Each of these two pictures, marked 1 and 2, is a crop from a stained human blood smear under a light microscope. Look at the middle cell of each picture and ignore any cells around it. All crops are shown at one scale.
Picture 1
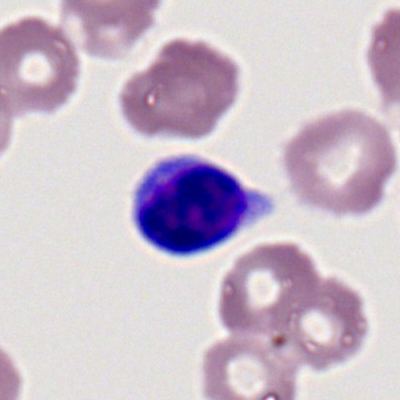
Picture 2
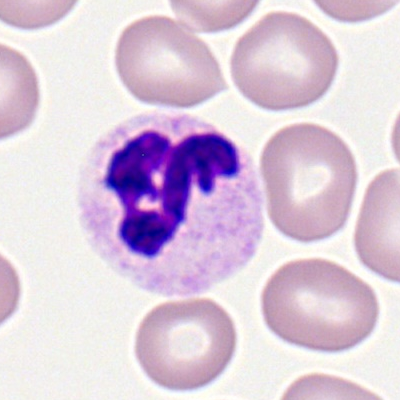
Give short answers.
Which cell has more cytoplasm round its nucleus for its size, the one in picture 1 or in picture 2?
2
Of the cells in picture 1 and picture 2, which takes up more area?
2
